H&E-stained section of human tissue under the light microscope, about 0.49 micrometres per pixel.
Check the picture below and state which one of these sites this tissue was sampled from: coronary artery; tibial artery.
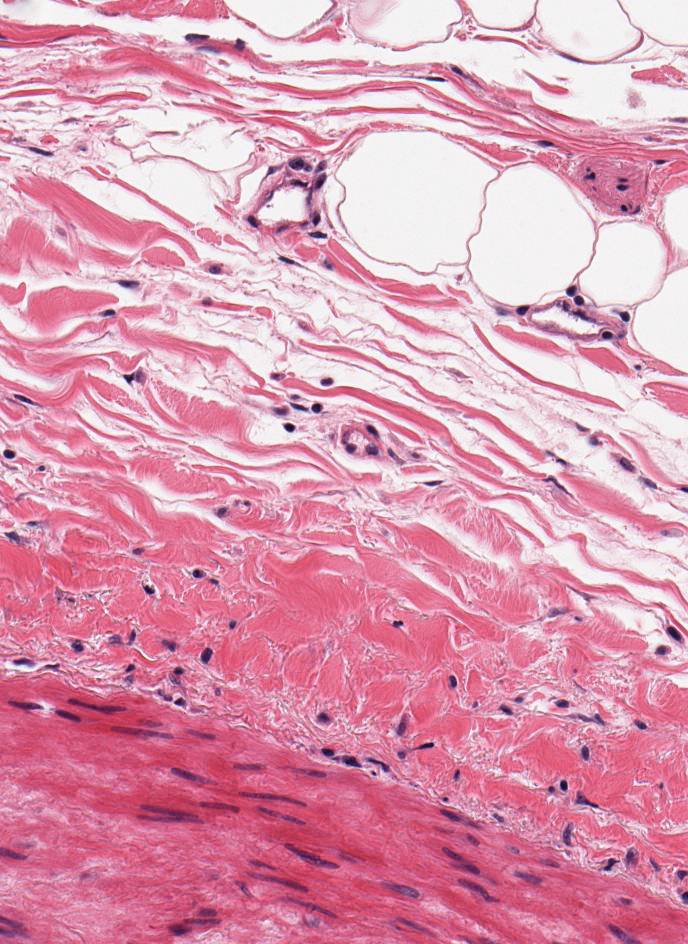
coronary artery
